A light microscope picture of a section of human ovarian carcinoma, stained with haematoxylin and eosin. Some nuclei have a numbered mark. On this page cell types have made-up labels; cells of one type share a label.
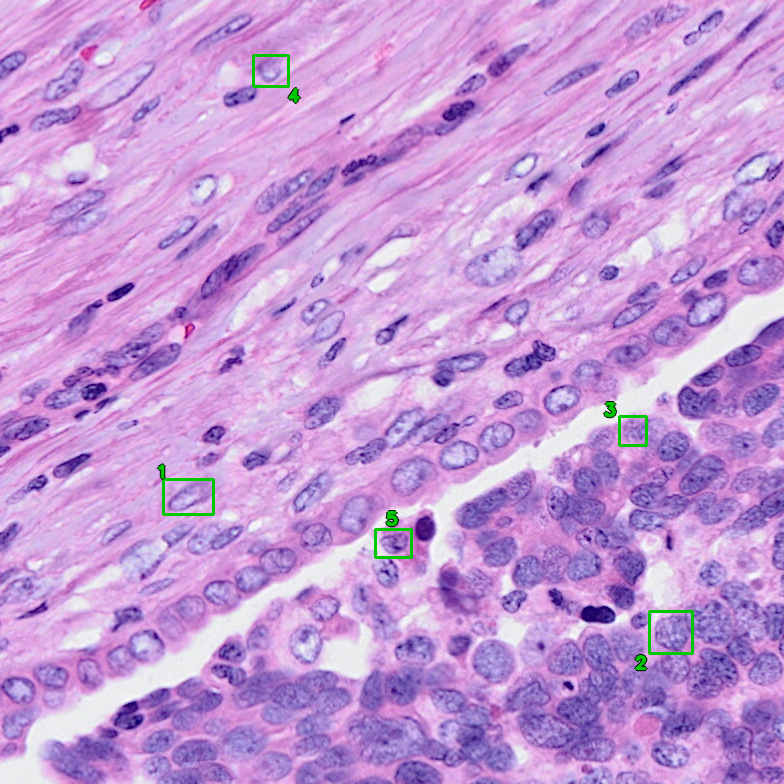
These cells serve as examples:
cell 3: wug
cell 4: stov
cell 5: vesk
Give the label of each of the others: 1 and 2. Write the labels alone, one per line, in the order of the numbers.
stov
wug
